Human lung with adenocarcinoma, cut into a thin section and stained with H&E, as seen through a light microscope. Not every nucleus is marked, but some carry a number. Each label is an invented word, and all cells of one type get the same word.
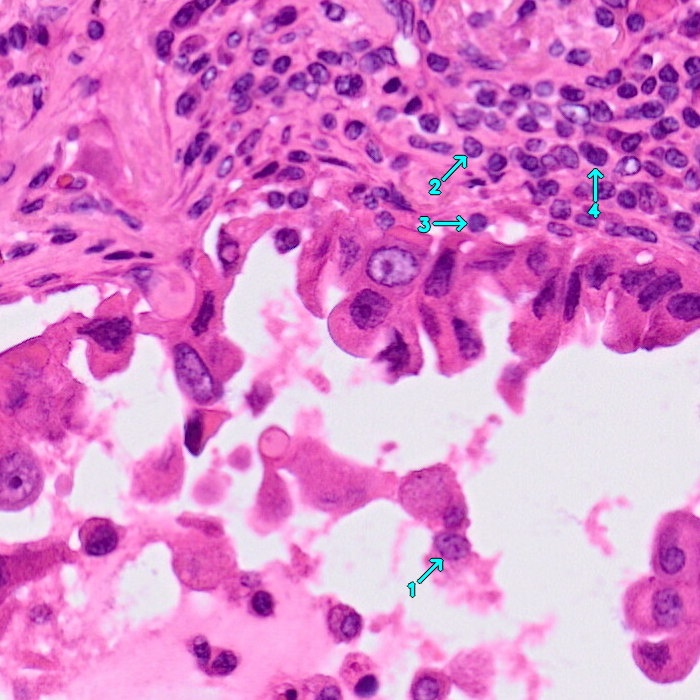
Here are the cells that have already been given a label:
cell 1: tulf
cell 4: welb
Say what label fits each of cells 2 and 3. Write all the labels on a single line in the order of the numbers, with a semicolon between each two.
welb; welb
